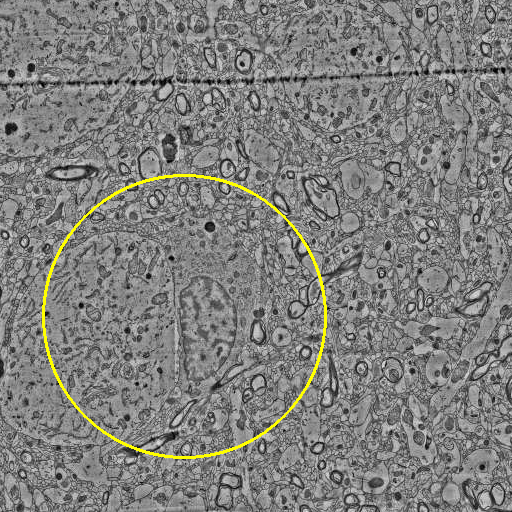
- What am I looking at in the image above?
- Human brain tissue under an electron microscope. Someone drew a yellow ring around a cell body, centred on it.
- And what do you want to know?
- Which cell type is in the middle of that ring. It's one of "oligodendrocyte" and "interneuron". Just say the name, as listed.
oligodendrocyte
